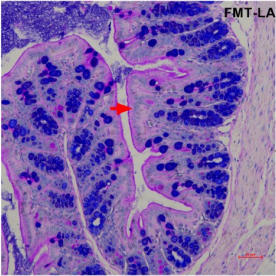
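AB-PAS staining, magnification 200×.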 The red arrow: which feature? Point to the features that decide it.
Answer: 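The arrow points at a thin pink-magenta line lining the luminal surface of the epithelium. The line runs along the cleft between two mucosal folds.
Conclusion: mucin layer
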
